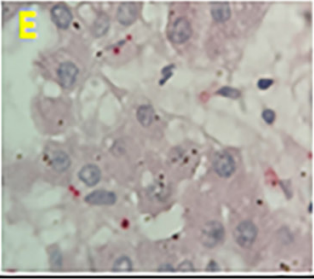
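This is high-power liver tissue with large polygonal liver cells that have round, centrally placed nuclei with visible nucleoli and pale, partly vacuolated cytoplasm. Small bright pink-red granules are scattered between and within the cells, some next to slender elongated nuclei lining the spaces between the liver cells.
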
